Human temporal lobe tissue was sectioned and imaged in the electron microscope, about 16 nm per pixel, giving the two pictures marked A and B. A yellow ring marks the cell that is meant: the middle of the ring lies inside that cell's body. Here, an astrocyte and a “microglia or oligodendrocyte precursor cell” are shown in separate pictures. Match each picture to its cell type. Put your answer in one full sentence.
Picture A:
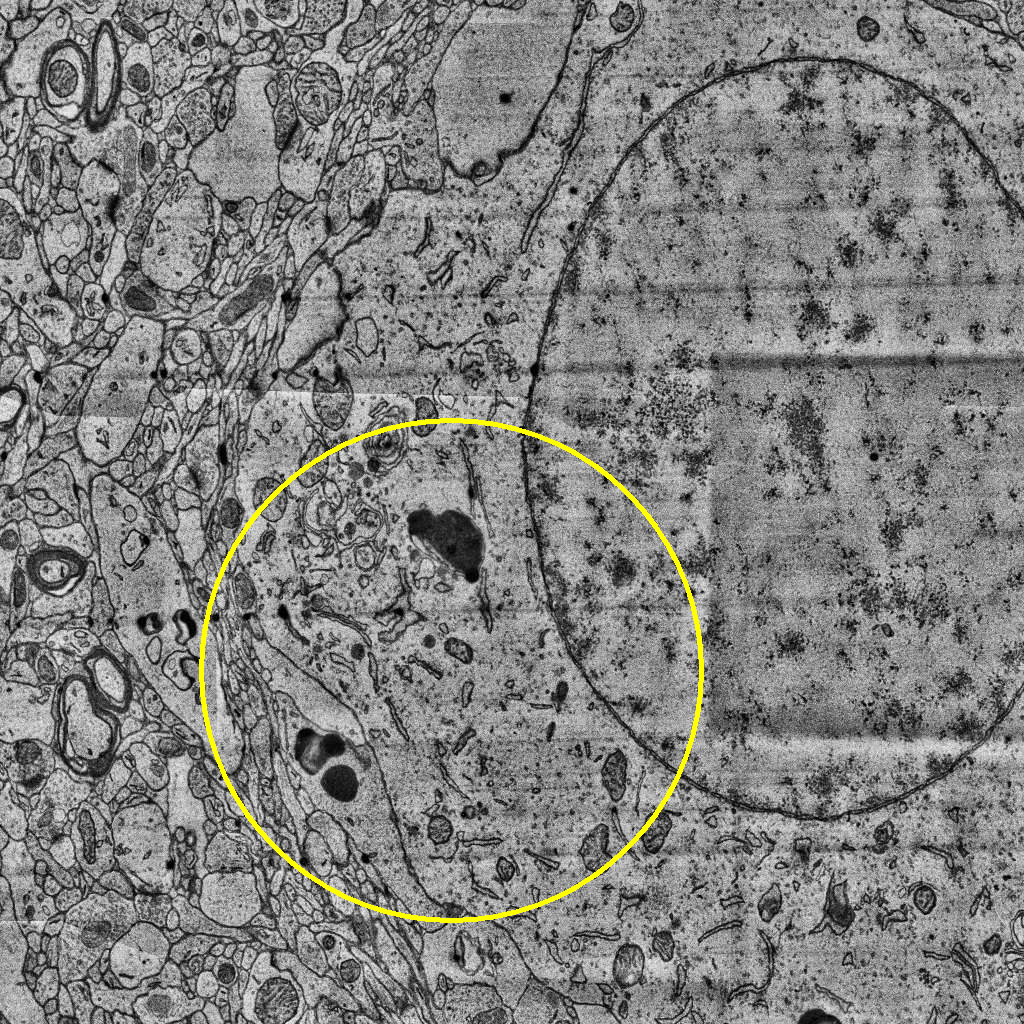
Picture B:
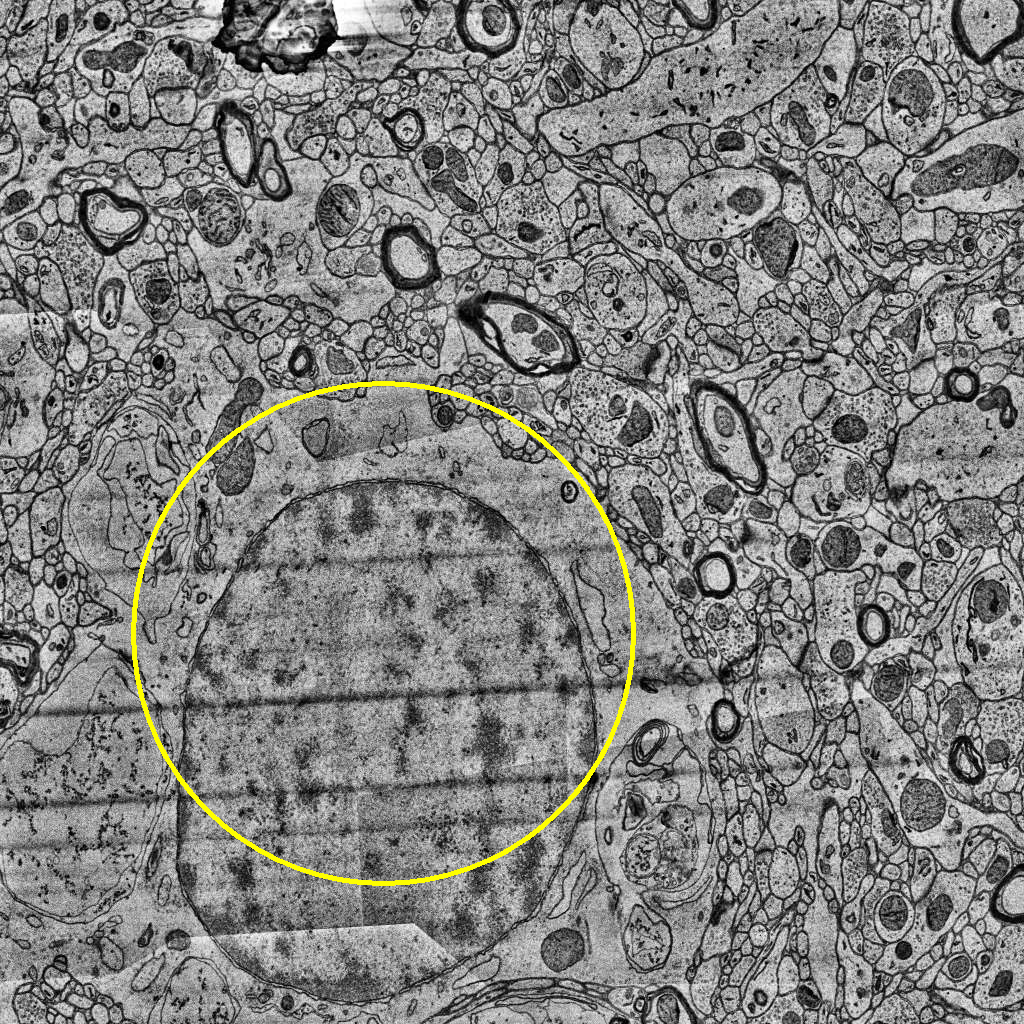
Picture A shows a “microglia or oligodendrocyte precursor cell” and picture B shows an astrocyte.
